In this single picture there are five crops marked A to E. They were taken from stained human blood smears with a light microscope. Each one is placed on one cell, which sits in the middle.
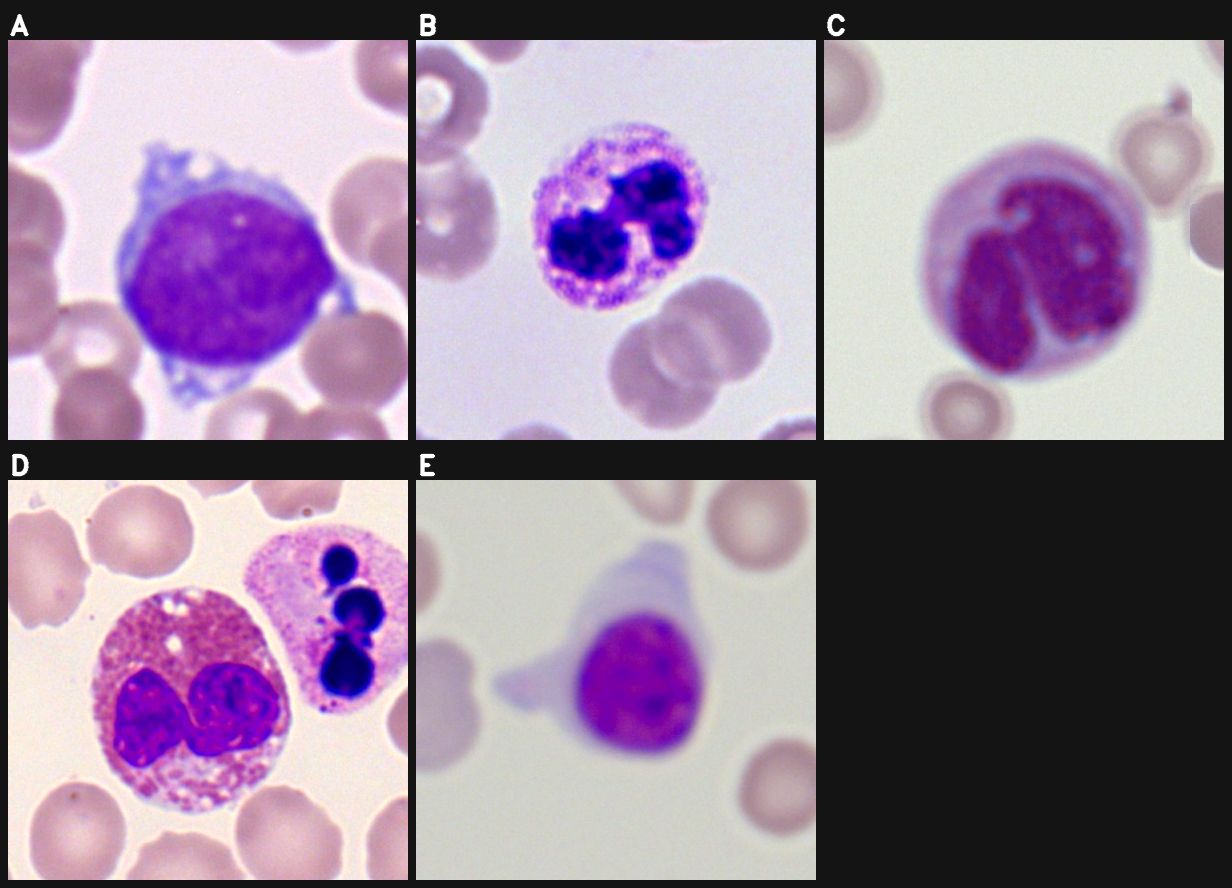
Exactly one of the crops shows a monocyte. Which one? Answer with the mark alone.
C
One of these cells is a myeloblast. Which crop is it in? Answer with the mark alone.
A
